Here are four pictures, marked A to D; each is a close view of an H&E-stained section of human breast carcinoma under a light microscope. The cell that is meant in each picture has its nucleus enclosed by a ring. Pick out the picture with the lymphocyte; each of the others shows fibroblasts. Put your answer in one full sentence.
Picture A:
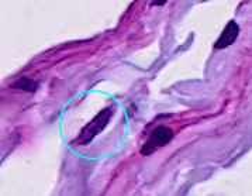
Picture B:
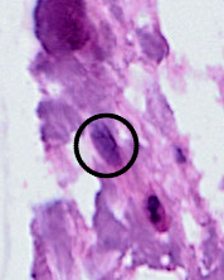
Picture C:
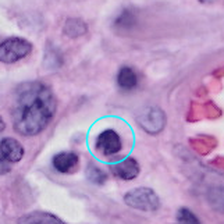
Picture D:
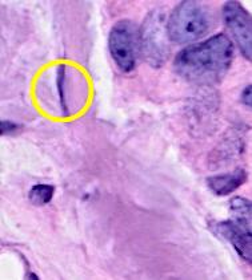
The picture with the lymphocyte is C.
